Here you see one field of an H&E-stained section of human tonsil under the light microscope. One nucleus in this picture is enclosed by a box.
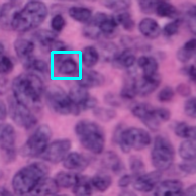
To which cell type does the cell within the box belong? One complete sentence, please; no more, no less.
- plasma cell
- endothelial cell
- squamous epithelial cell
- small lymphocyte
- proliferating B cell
The category to which the cell within the box belongs is that of a proliferating B cell.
